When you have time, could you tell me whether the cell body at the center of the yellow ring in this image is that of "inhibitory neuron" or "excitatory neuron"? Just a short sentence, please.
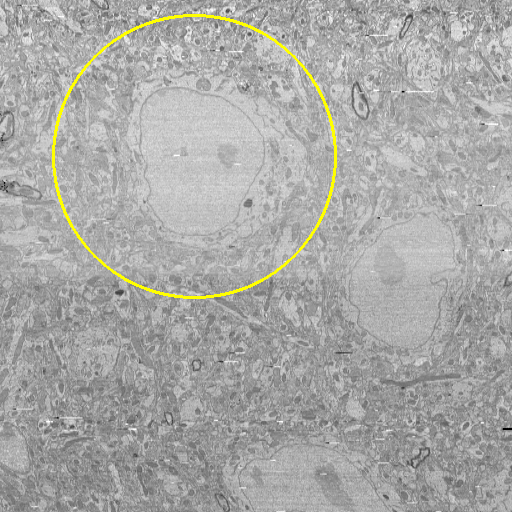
The cell body at the center of the ring is that of an excitatory neuron.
